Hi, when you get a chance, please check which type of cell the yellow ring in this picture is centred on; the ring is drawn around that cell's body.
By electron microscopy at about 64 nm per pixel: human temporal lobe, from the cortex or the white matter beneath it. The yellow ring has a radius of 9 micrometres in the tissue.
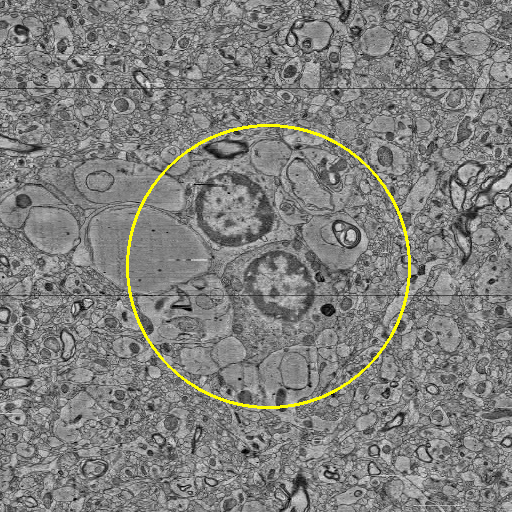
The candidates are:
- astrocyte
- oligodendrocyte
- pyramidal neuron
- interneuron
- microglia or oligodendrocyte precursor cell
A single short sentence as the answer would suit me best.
The ring is drawn around the body of an oligodendrocyte.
